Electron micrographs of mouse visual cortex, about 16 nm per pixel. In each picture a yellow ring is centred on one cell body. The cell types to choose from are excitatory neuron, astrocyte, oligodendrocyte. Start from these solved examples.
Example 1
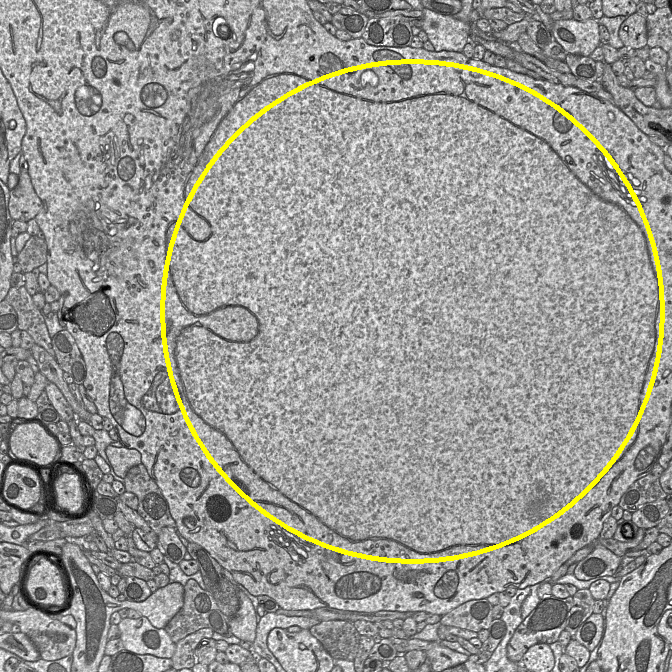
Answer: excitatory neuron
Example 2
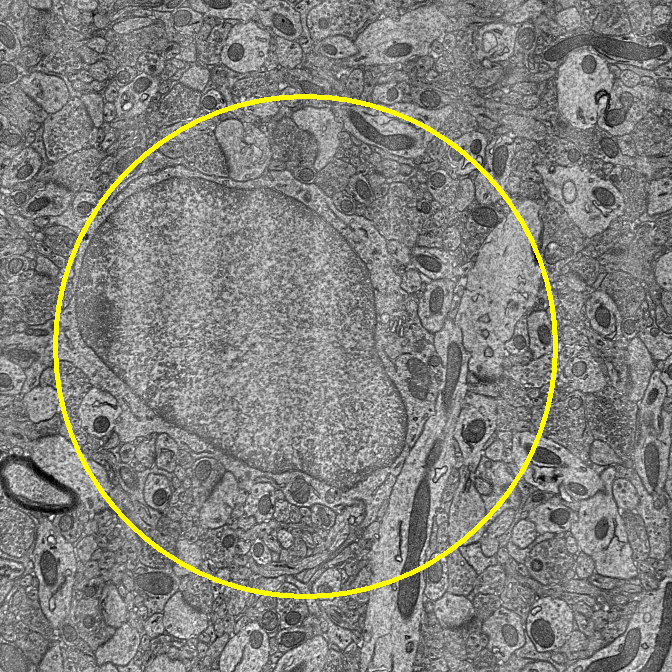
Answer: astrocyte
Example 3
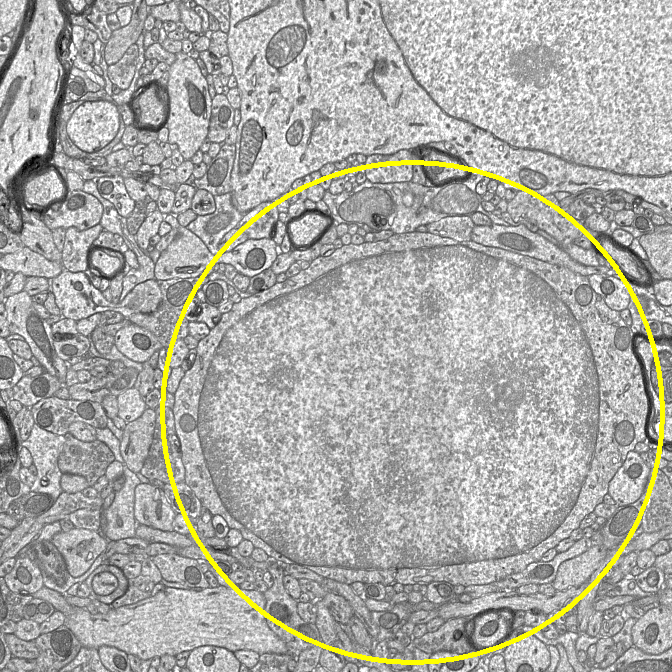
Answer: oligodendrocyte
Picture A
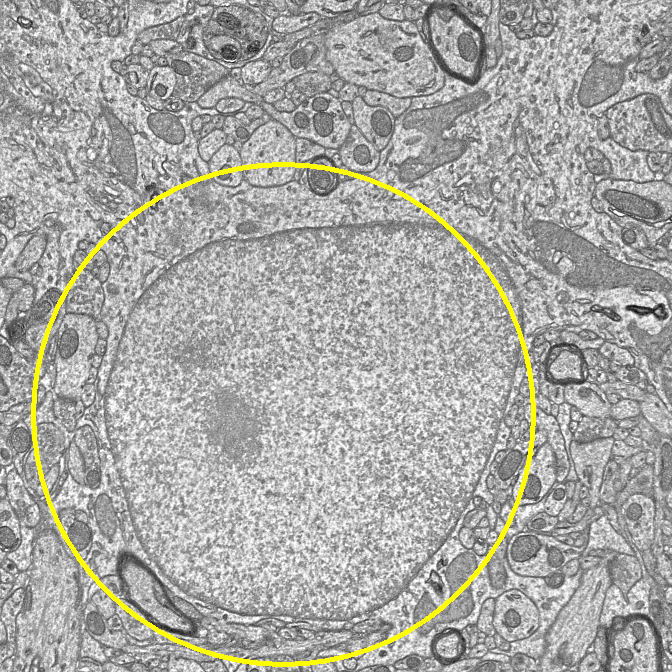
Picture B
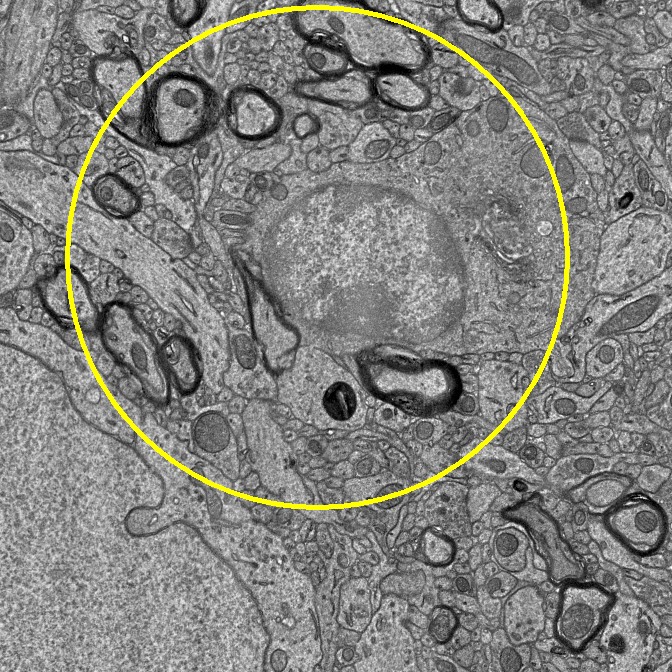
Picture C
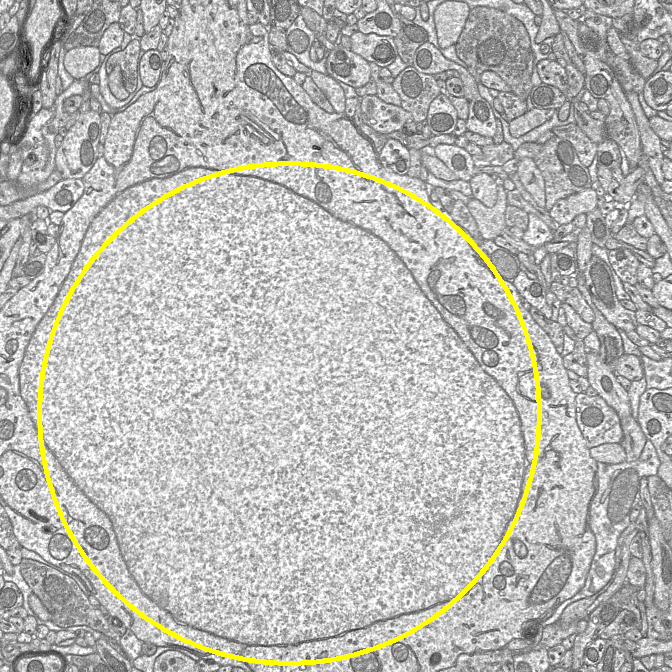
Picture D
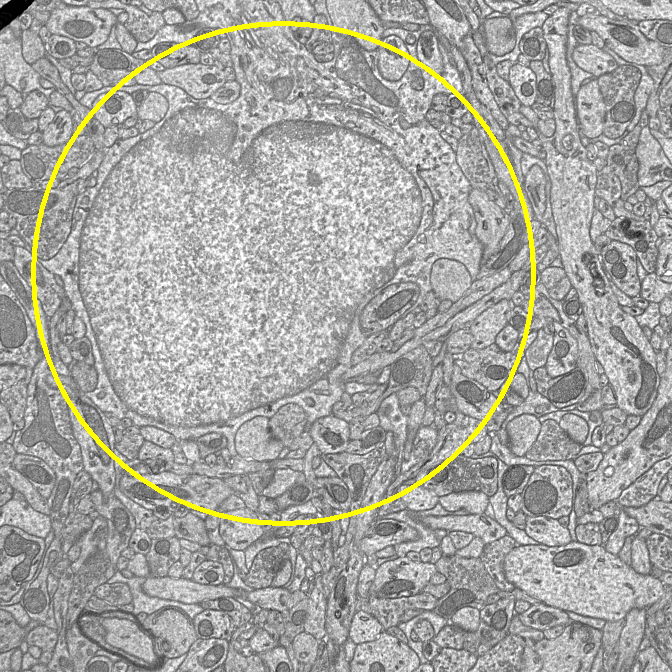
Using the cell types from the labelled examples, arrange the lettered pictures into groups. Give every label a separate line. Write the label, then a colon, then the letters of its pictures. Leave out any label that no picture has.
excitatory neuron: C
astrocyte: A, D
oligodendrocyte: B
